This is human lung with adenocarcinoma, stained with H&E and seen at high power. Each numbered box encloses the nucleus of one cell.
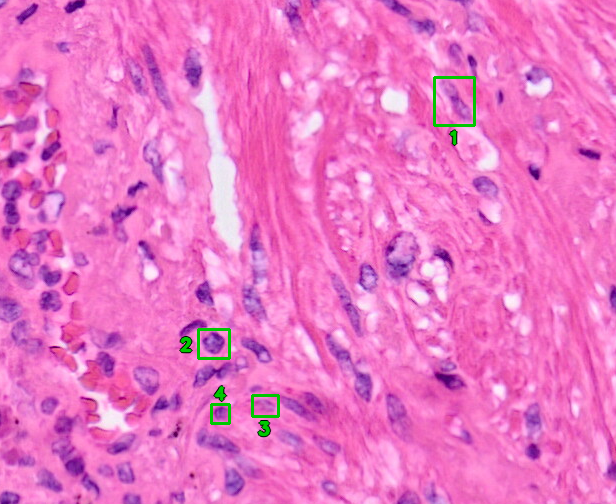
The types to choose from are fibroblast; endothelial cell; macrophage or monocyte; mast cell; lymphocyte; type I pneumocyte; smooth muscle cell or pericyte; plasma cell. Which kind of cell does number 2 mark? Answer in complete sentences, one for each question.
Here, the cell given the number 2 is a mast cell.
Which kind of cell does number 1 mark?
In this section, number 1 marks a smooth muscle cell or pericyte.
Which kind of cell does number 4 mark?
The one labeled 4 is a smooth muscle cell or pericyte, to put it simply.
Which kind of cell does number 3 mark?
Cell number 3 in this section is a smooth muscle cell or pericyte.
